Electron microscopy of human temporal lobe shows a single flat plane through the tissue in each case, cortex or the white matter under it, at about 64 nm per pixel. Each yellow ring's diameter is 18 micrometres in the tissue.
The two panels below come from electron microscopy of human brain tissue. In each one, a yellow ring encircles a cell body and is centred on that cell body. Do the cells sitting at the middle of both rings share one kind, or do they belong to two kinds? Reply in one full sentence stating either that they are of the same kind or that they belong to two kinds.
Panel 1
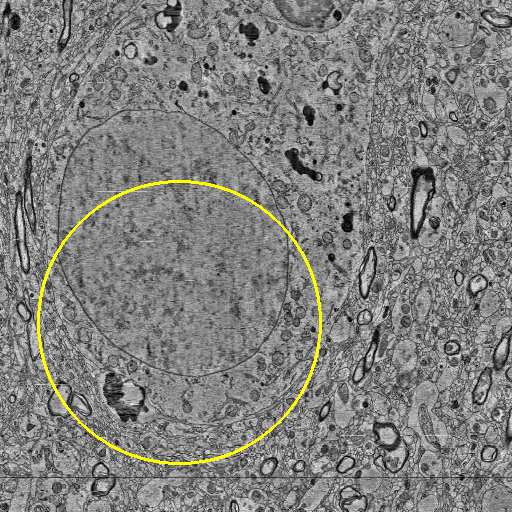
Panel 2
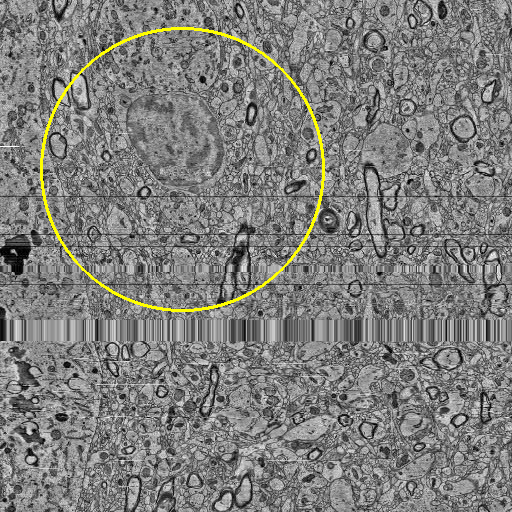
The cells at the centres of the two rings belong to two kinds.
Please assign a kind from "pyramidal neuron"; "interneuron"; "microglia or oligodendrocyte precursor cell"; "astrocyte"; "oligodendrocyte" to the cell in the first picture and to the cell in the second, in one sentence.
In the first picture we have a pyramidal neuron, and in the second, an oligodendrocyte.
